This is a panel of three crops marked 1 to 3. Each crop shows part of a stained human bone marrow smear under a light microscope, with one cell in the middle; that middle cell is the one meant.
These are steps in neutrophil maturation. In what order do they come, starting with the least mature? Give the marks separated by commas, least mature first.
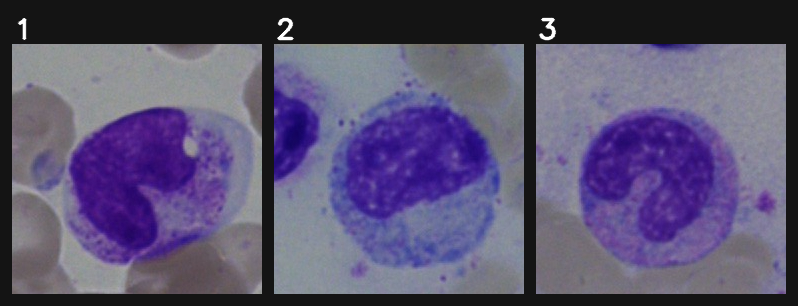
2, 1, 3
